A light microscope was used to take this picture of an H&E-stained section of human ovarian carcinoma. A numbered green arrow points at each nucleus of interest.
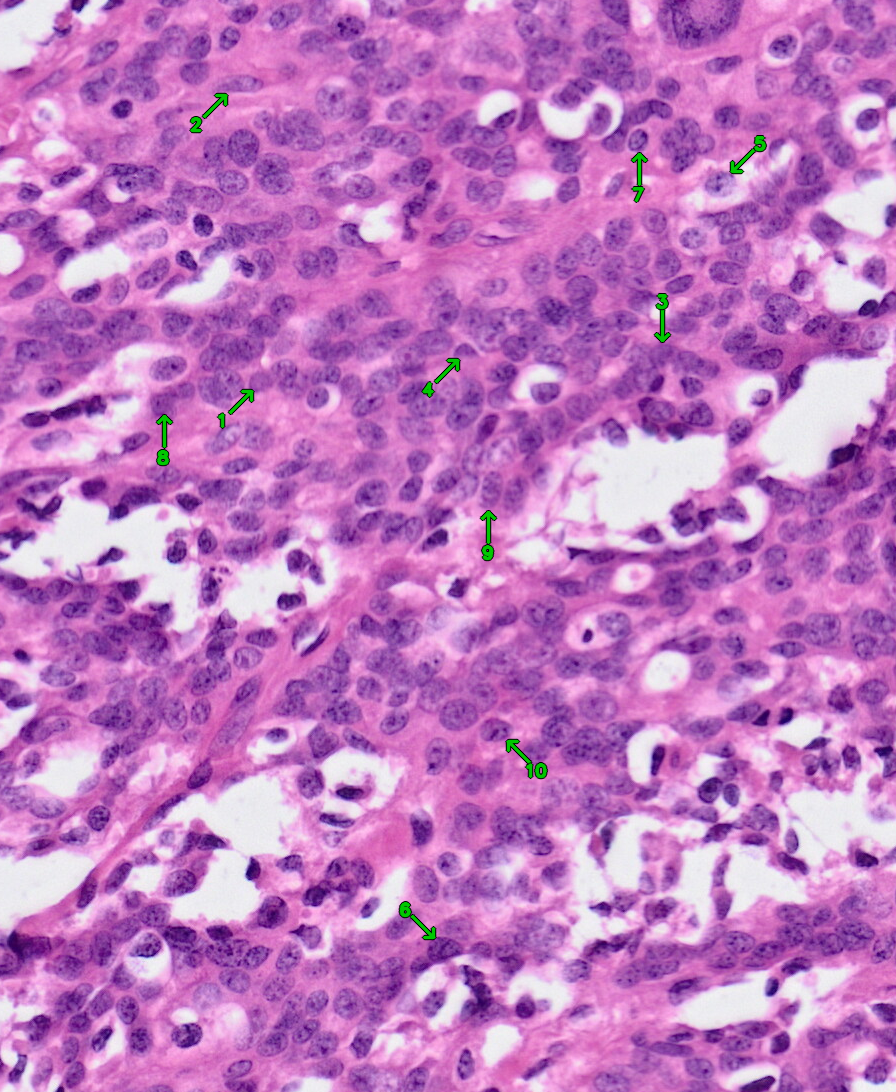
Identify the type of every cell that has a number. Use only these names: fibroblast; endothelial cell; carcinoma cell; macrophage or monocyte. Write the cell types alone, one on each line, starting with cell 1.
carcinoma cell
endothelial cell
carcinoma cell
carcinoma cell
macrophage or monocyte
carcinoma cell
macrophage or monocyte
carcinoma cell
carcinoma cell
macrophage or monocyte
